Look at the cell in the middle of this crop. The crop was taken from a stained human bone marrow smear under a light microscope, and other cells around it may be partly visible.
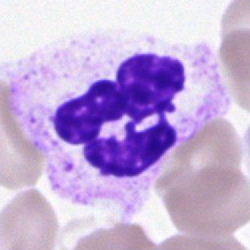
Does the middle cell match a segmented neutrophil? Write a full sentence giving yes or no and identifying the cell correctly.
Yes, the cell lying in the middle is a segmented neutrophil.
